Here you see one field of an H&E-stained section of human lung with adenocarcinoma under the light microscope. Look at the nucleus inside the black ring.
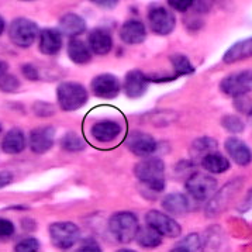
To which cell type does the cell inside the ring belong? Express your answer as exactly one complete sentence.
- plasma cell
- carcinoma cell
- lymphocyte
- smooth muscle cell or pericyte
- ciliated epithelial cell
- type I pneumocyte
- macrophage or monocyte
For cell typing purposes, the cell inside the ring is a lymphocyte.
